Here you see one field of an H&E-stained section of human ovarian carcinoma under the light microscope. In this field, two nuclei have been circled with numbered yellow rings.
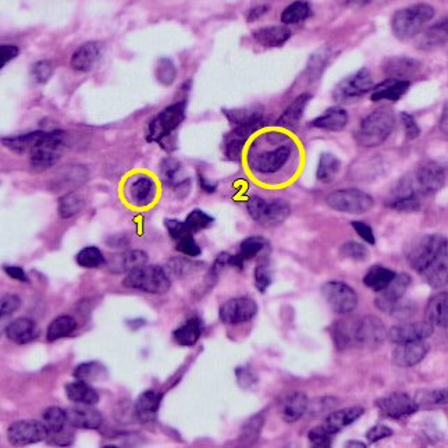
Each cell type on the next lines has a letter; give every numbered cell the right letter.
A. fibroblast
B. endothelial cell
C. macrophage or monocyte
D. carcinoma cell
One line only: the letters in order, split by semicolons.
C; D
